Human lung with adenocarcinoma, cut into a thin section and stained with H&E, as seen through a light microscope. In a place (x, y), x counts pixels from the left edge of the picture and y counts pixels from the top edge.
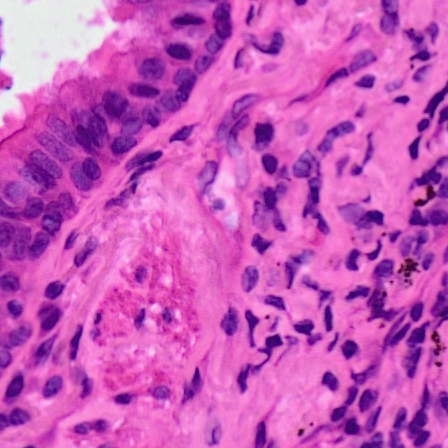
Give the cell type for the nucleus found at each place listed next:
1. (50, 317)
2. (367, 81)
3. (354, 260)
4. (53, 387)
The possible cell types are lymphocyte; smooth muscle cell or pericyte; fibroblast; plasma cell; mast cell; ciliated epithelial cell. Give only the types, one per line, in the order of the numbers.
plasma cell
lymphocyte
lymphocyte
mast cell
